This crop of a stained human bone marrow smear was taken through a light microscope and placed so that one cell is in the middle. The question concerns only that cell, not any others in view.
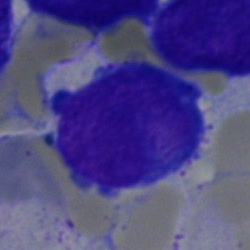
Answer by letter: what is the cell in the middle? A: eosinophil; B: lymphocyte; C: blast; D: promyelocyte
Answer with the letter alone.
C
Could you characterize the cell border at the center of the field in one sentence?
Seen at its edge, the cell is not smooth but ragged or projecting.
